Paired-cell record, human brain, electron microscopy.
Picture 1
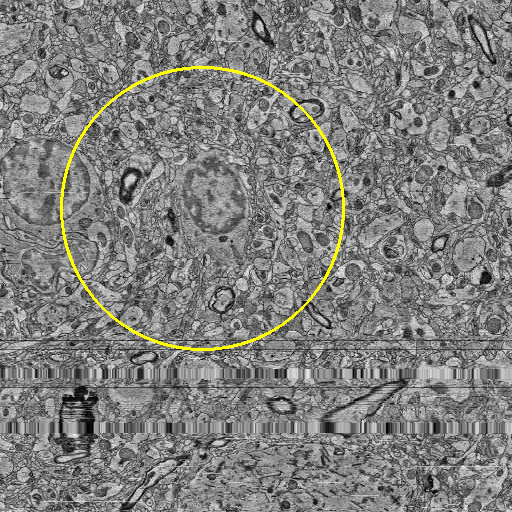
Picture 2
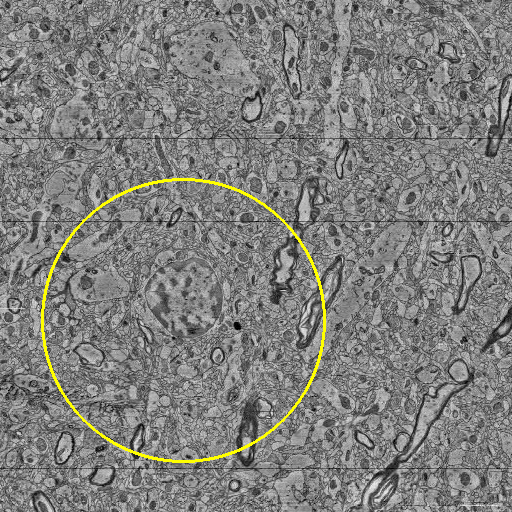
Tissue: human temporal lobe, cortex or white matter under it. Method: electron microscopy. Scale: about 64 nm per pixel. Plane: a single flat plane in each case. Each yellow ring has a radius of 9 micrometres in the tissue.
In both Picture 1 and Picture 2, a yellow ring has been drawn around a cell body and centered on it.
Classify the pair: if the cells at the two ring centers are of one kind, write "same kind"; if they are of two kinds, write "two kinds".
two kinds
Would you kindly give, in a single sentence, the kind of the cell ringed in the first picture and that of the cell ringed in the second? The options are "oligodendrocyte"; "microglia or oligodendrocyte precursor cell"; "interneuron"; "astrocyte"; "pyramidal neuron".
The second cell is a microglial cell or oligodendrocyte precursor cell, and the first cell is an oligodendrocyte.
